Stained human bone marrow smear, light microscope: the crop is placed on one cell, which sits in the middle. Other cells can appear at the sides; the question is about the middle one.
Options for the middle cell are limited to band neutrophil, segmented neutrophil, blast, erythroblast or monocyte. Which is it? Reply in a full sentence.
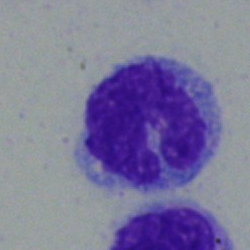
The central cell shown in this smear crop is a monocyte.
